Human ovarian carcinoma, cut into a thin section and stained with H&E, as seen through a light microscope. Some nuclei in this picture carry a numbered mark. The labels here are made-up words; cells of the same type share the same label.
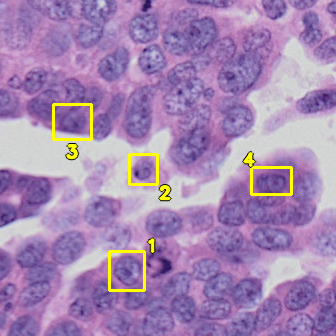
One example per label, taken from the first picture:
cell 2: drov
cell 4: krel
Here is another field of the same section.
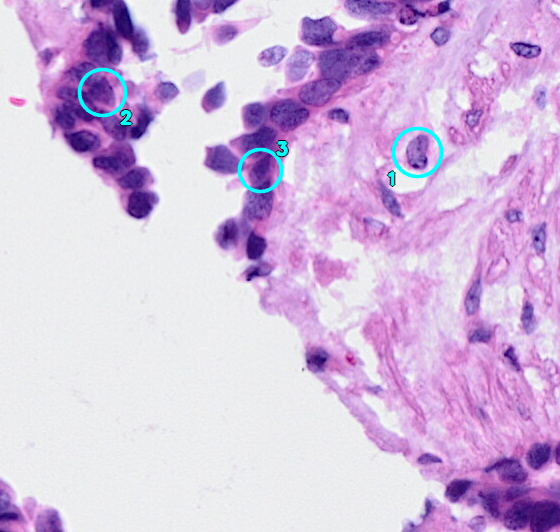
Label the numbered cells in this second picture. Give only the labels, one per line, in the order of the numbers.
drov
krel
krel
